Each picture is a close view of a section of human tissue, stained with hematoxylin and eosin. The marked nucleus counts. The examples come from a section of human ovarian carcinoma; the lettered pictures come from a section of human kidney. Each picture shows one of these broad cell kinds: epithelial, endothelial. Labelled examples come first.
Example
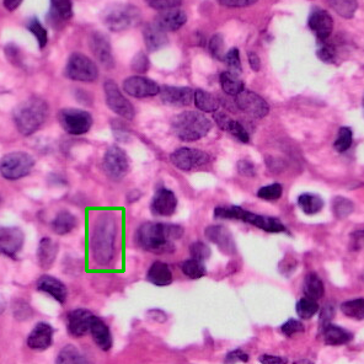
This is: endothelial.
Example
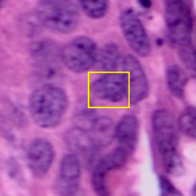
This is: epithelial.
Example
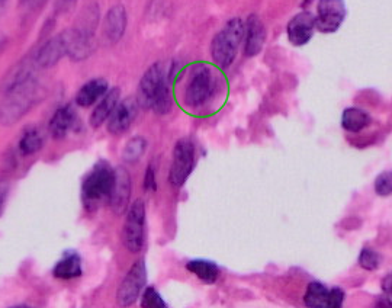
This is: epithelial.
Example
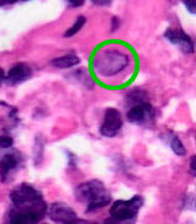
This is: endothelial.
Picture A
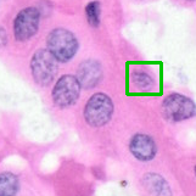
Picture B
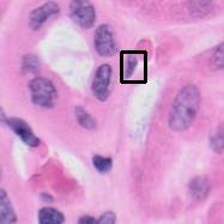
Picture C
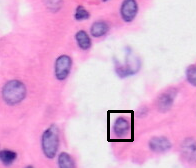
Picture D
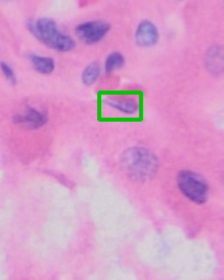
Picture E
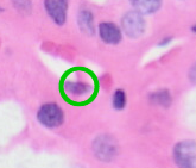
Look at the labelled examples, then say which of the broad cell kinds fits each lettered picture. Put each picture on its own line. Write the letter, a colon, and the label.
A: epithelial.
B: endothelial.
C: epithelial.
D: endothelial.
E: endothelial.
